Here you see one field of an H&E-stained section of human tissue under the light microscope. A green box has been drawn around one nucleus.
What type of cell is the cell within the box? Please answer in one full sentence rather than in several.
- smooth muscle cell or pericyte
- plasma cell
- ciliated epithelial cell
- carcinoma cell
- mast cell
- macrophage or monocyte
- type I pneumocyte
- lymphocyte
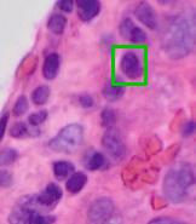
On this particular slide, the cell within the box is a lymphocyte.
